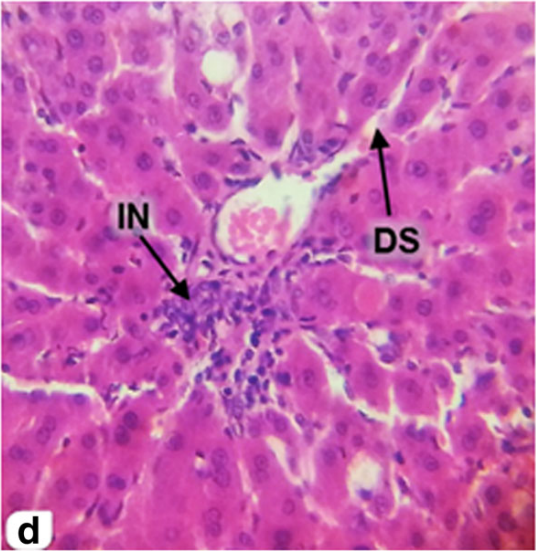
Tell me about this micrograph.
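This is liver around a central vein, with cords of polygonal hepatocytes that have pink cytoplasm and round nuclei, some with two nuclei. Beside the small central vein, which holds red blood cells, lies a dense cluster of small cells with dark purple nuclei, a focus of cellular inflammation. The clear spaces between the hepatocyte cords are widened, showing dilated sinusoids.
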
